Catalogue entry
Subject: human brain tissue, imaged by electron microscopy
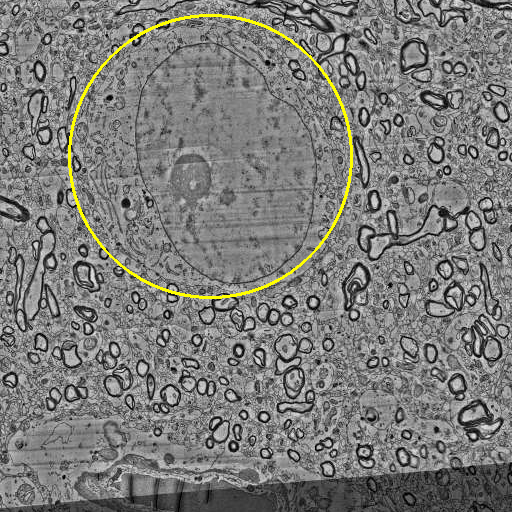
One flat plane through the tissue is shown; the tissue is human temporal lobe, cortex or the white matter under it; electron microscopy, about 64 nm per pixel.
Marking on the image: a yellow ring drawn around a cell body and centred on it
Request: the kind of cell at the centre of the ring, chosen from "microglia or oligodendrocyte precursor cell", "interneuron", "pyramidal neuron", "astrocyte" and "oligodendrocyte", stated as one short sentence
The ring has a pyramidal neuron at its centre.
